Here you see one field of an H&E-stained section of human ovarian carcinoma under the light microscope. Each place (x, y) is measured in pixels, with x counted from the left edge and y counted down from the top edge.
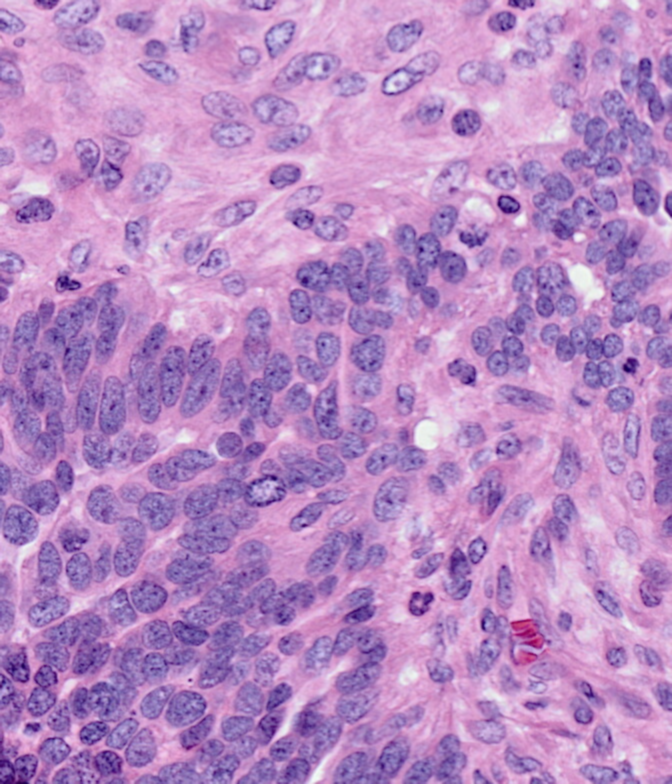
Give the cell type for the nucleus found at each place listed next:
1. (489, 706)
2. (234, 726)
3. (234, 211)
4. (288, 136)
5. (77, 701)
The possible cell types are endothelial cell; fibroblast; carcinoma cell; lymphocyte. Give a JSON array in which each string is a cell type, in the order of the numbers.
["fibroblast", "carcinoma cell", "fibroblast", "fibroblast", "carcinoma cell"]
